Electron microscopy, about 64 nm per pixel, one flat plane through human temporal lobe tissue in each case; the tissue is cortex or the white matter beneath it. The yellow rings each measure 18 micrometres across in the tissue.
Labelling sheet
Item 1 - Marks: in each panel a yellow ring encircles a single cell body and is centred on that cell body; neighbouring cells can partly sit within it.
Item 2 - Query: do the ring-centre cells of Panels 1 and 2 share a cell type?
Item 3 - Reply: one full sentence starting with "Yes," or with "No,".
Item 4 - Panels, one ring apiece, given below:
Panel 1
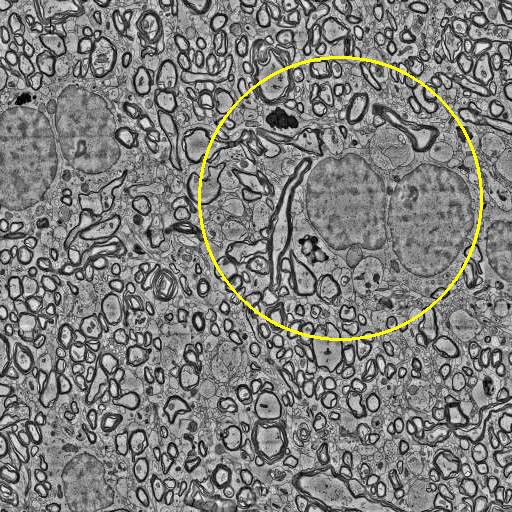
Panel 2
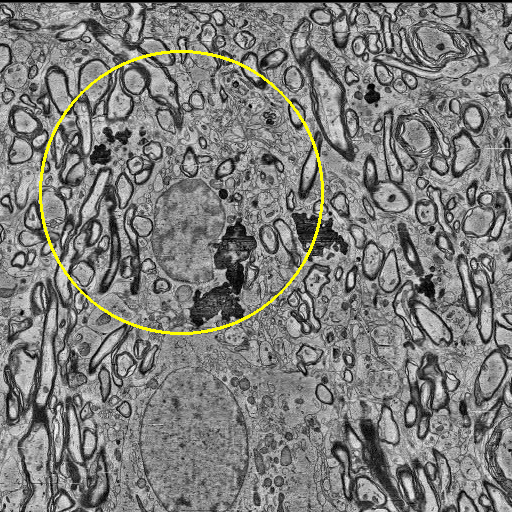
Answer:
Yes, Panel 1 and Panel 2 show one cell type at the centres of their rings.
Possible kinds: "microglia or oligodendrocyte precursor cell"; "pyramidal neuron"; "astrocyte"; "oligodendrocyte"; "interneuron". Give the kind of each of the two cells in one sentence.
Both pictures show an oligodendrocyte at the centre of the ring.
